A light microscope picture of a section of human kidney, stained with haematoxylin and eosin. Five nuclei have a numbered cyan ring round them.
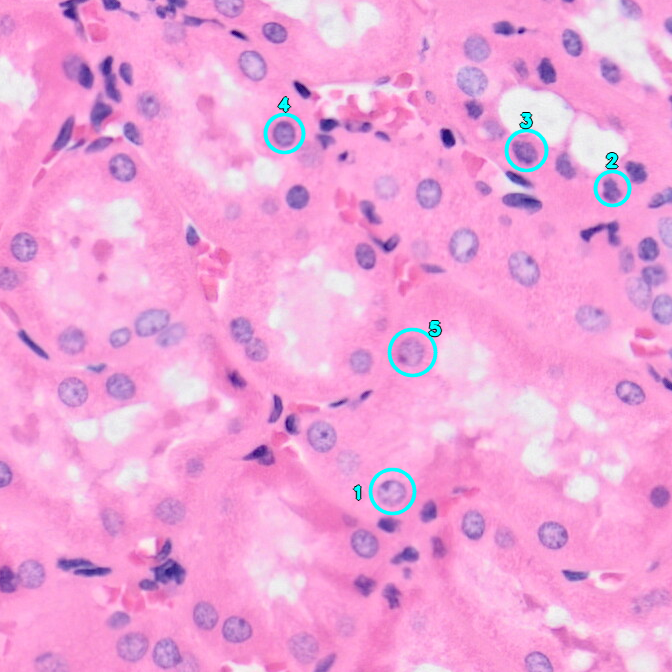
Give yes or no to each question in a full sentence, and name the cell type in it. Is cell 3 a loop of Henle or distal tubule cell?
Yes, the cell marked by the number 3 is a loop of Henle or distal tubule cell.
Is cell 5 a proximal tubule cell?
Yes, the cell at marker 5 is a proximal tubule cell.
